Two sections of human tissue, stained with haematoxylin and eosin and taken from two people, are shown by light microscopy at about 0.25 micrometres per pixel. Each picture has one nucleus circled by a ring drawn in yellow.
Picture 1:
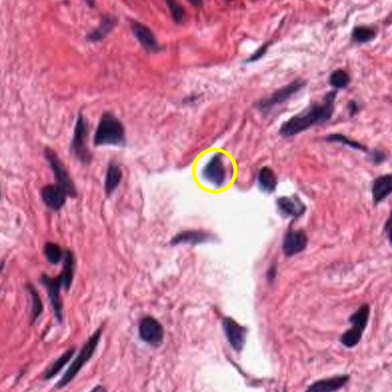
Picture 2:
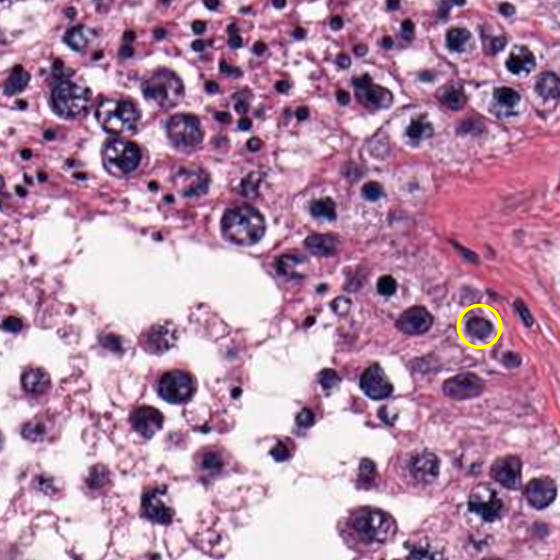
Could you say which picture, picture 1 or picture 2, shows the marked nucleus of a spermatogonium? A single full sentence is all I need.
As for picture 2, its marked nucleus belongs to a spermatogonium.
